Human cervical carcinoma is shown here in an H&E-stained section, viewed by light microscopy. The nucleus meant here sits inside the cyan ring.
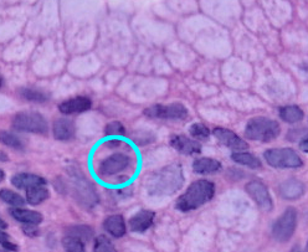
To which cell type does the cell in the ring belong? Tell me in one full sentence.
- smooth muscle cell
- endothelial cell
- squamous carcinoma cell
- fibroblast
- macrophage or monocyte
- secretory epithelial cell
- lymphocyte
In terms of identity, the cell in the ring is a secretory epithelial cell.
